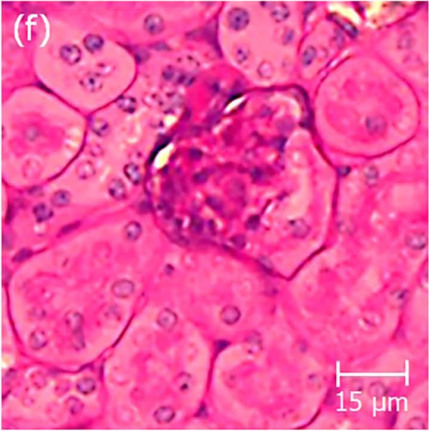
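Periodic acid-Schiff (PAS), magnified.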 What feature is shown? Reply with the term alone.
Glomerulus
